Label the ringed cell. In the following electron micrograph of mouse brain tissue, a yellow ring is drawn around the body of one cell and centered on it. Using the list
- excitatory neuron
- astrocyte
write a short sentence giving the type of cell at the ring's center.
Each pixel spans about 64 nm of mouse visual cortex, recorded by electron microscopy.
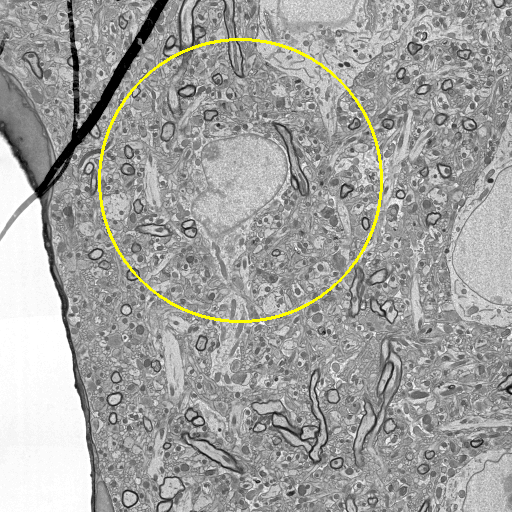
The cell body at the ring's center is that of an astrocyte.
